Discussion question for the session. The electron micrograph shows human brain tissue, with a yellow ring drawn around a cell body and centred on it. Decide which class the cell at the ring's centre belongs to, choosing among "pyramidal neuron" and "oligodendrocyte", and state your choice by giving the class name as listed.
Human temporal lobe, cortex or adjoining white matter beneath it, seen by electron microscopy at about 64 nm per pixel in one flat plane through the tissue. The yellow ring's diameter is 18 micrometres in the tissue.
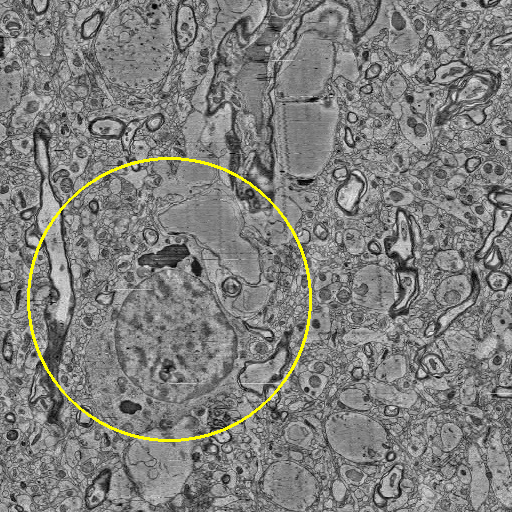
oligodendrocyte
